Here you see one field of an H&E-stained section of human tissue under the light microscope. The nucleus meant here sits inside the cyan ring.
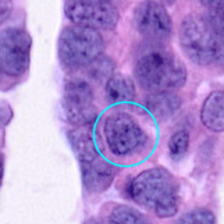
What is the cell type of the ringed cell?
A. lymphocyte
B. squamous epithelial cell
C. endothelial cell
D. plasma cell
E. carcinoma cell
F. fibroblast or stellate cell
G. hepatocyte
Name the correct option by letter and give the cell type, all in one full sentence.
Here the correct option is E, since the ringed cell is a carcinoma cell.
